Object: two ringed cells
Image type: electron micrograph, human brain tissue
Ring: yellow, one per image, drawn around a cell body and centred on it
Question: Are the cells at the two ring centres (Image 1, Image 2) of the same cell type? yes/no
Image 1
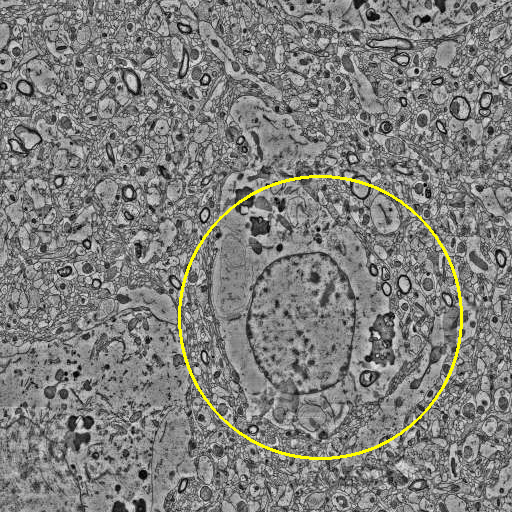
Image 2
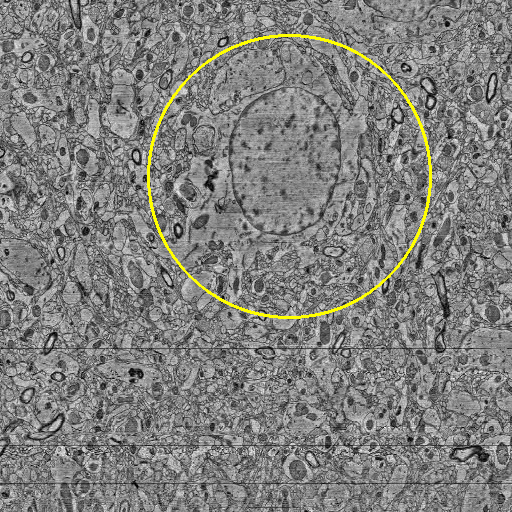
yes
